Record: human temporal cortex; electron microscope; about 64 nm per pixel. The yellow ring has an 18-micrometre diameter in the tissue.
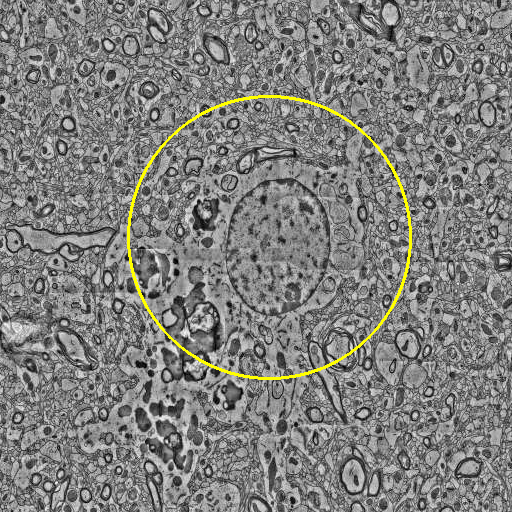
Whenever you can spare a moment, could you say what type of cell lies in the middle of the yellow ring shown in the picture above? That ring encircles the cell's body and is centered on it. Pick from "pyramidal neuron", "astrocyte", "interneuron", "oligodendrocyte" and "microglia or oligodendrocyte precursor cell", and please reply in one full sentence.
The cell whose body sits at the middle of the yellow ring is an astrocyte.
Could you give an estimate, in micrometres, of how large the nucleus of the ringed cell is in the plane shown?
Roughly 9 by 7 micrometres in this plane, for the nucleus of the ringed cell.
